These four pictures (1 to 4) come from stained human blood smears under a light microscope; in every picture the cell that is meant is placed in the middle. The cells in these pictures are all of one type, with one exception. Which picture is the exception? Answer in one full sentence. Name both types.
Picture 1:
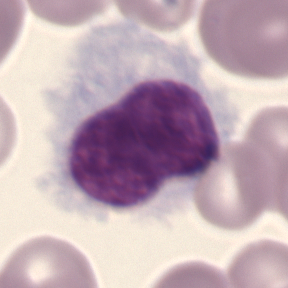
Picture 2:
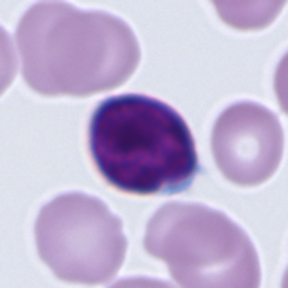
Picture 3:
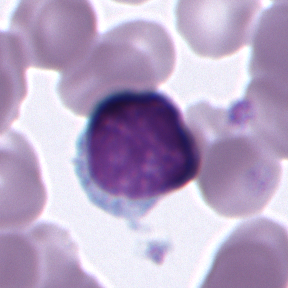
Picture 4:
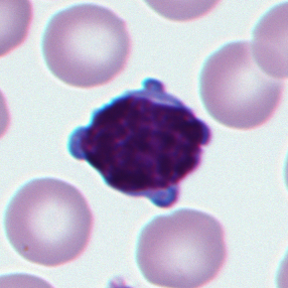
Picture 1 is the odd one out: it shows a hairy cell, while the others show typical lymphocytes.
